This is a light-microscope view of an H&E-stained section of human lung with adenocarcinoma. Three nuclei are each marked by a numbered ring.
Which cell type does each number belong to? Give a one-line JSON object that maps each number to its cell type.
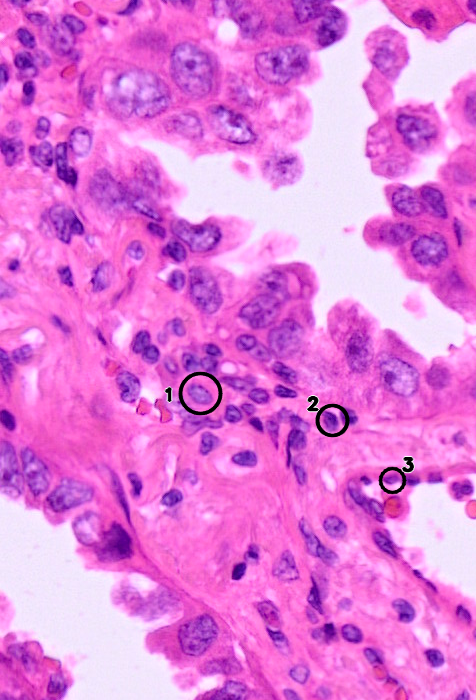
{"1": "mast cell", "2": "lymphocyte", "3": "endothelial cell"}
